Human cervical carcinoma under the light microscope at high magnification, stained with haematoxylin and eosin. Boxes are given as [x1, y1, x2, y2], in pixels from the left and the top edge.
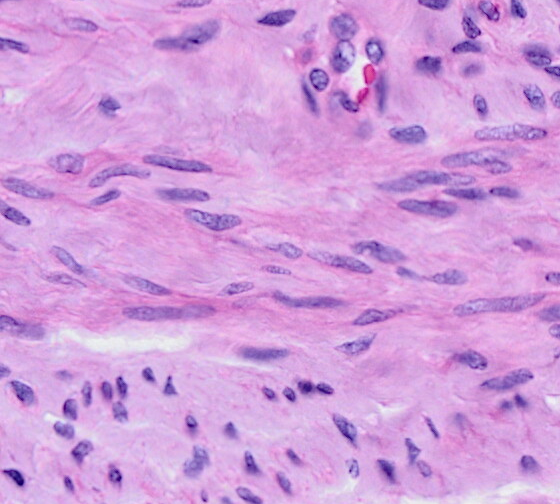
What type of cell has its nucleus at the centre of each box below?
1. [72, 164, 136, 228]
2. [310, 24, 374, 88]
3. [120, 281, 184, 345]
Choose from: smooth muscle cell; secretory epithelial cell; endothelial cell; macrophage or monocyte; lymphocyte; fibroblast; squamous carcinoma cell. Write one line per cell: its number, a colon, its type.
1: smooth muscle cell
2: endothelial cell
3: smooth muscle cell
